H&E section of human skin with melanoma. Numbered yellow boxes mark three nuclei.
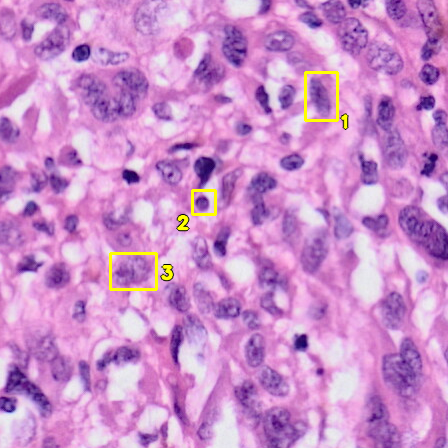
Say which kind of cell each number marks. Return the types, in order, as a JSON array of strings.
["melanoma cell", "lymphocyte", "melanoma cell"]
